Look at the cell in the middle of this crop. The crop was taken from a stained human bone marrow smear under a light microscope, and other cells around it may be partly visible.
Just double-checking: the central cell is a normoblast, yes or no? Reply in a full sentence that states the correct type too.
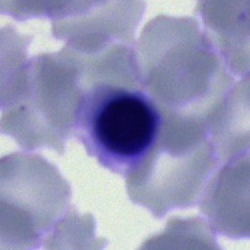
Yes, the centered cell in this field is a normoblast.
